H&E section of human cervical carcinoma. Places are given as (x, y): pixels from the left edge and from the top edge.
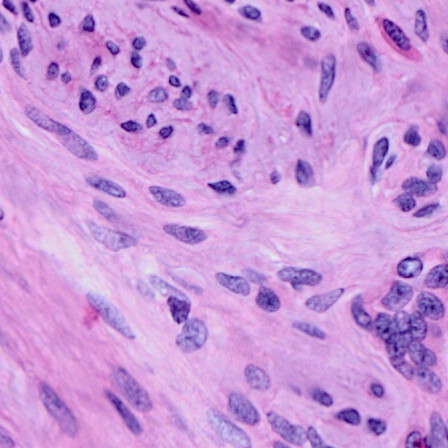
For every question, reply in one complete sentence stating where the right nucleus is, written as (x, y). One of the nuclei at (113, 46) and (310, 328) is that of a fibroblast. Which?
Located at (310, 328), this nucleus is the one belonging to a fibroblast.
